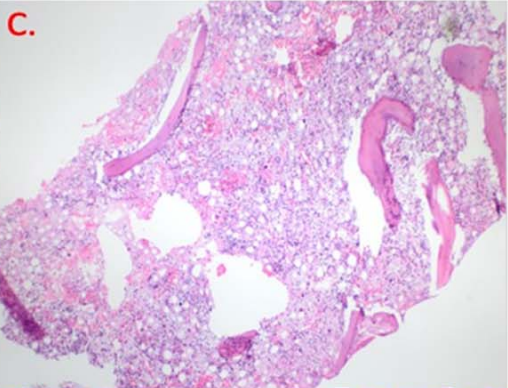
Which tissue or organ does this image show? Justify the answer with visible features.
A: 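Pink bony trabeculae run through the core. Many round empty fat spaces. Densely packed small cells fill the spaces between fat and bone.
Conclusion: Bone marrow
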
